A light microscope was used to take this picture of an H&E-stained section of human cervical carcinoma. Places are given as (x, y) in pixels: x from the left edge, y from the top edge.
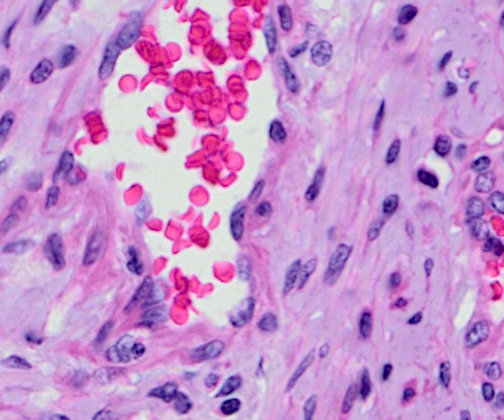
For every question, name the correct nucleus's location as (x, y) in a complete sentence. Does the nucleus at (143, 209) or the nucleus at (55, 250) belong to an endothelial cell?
The nucleus whose cell is an endothelial cell is the one at (143, 209).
